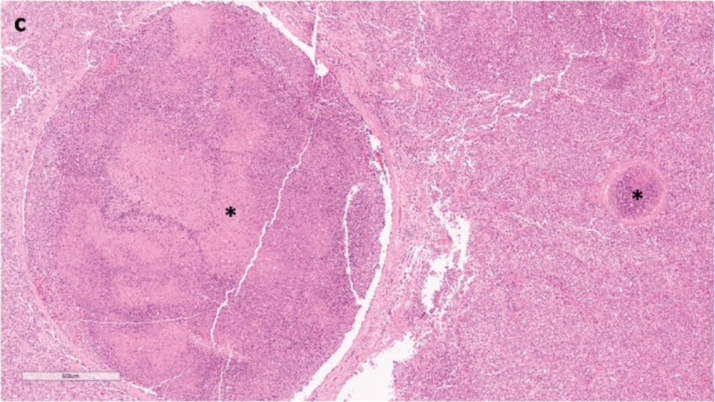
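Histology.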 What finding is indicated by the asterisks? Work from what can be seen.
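Two round, sharply bordered spaces, one large and one small, are filled with cellular tissue. The filled spaces lie within surrounding cellular tissue.
Tumour growth inside the lumina of two vessels.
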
